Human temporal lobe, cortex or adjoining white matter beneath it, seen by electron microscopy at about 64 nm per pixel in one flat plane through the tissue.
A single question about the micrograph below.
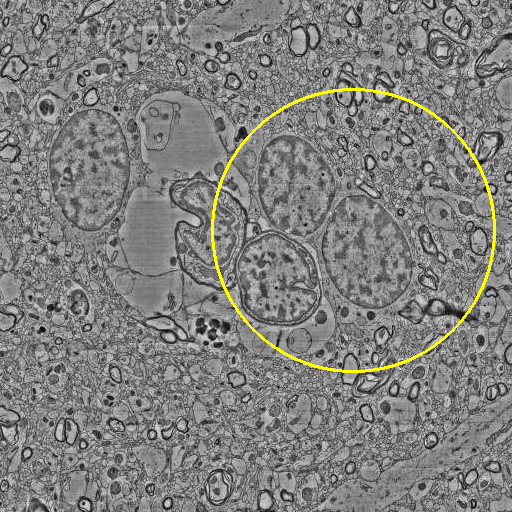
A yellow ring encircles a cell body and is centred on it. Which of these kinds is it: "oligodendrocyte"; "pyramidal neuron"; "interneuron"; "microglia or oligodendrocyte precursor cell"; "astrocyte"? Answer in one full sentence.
The cell body at the centre of the yellow ring belongs to an oligodendrocyte.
